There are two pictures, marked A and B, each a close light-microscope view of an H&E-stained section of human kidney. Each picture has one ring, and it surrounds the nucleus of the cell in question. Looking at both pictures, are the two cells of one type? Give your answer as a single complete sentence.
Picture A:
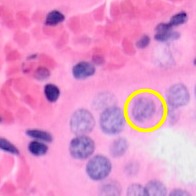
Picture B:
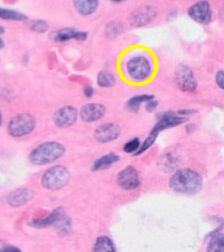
No, they differ: the cell is a collecting duct cell in picture A and a “loop of Henle or distal tubule cell” in picture B.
